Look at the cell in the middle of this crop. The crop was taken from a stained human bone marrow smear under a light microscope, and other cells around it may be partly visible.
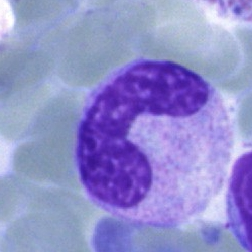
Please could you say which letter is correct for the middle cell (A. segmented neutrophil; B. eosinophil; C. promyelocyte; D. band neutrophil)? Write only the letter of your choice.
D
